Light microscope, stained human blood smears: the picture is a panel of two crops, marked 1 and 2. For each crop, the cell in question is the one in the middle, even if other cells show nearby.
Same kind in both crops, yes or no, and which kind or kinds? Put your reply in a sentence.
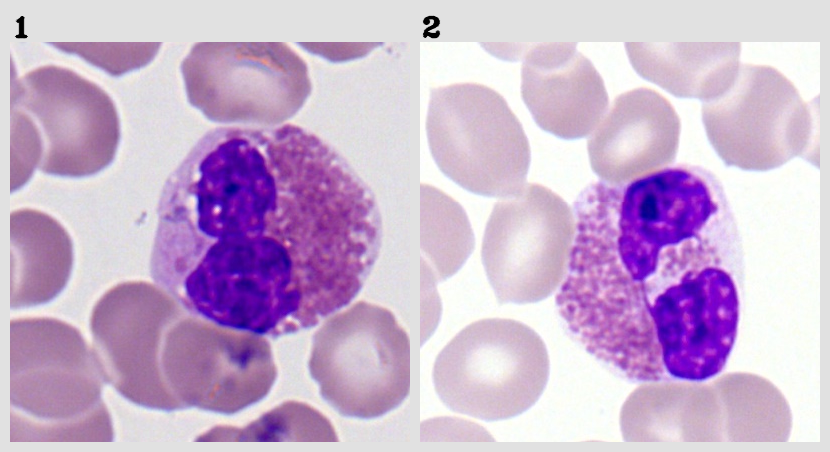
Yes, in the case of both crops, the central cells are eosinophils.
